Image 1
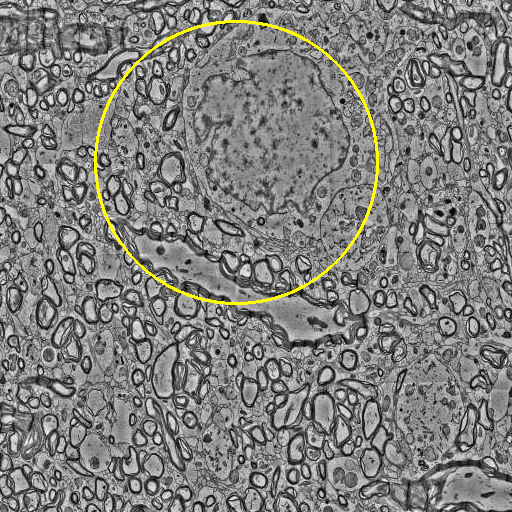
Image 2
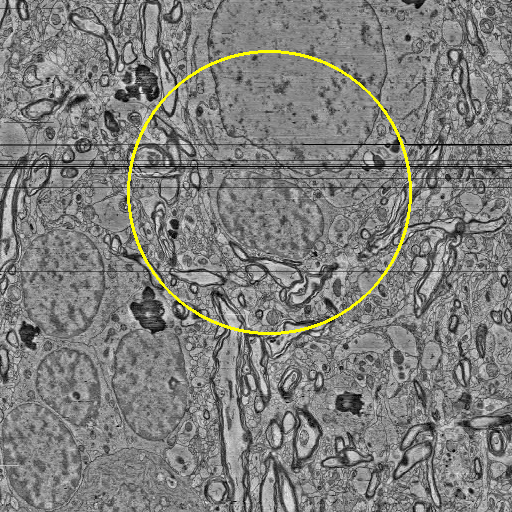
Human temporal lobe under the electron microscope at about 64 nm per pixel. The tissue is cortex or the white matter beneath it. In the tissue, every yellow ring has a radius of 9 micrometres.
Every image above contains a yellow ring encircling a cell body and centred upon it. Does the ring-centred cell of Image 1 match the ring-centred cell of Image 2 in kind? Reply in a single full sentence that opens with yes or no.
Yes, the cell at the ring's centre in Image 1 is the same kind as that in Image 2.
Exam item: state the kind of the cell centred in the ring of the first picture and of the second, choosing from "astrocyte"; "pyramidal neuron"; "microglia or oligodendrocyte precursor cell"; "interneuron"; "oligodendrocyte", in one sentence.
The second cell is an oligodendrocyte, just as the first is.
